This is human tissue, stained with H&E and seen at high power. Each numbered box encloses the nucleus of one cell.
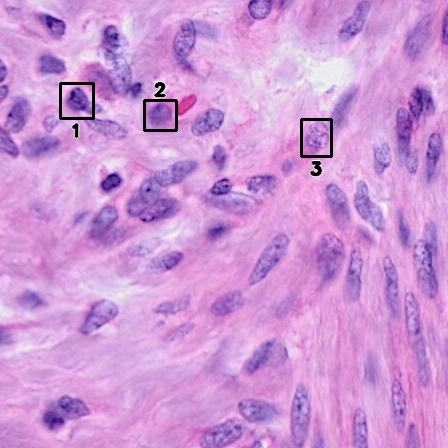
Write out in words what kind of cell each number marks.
Cell 1 is a lymphocyte, cell 2 is an endothelial cell and cell 3 is an endothelial cell.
